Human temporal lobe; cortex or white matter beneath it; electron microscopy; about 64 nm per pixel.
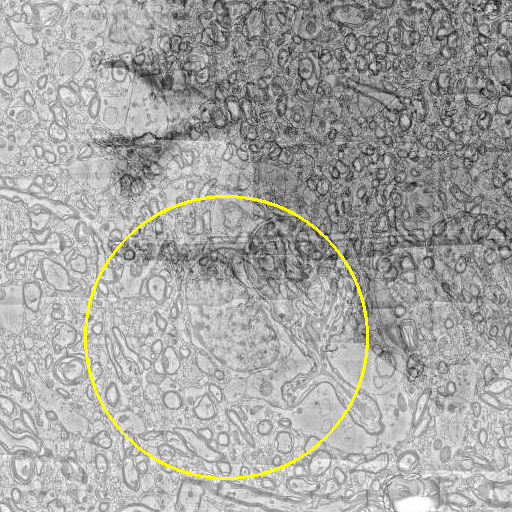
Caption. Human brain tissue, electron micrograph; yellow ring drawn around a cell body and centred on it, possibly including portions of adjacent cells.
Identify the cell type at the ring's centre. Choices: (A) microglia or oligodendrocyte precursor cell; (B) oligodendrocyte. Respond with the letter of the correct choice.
A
